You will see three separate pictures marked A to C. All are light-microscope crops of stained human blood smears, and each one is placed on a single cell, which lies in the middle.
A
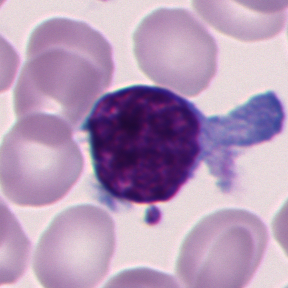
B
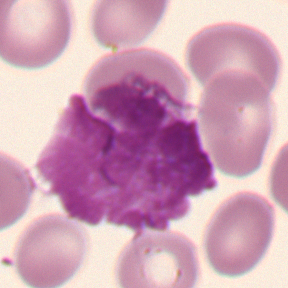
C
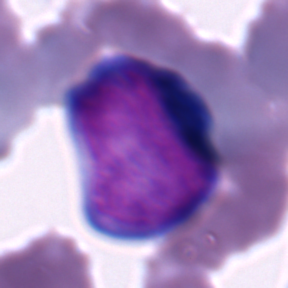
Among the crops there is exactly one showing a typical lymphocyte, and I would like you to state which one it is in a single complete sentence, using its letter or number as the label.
Crop A represents a typical lymphocyte, while the other crops do not.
